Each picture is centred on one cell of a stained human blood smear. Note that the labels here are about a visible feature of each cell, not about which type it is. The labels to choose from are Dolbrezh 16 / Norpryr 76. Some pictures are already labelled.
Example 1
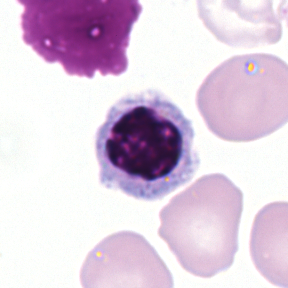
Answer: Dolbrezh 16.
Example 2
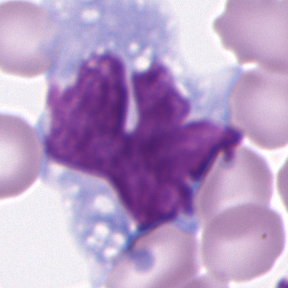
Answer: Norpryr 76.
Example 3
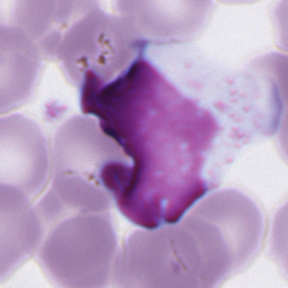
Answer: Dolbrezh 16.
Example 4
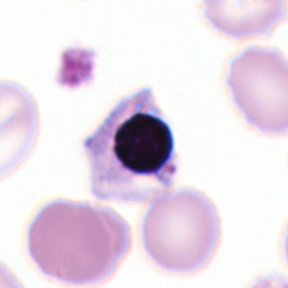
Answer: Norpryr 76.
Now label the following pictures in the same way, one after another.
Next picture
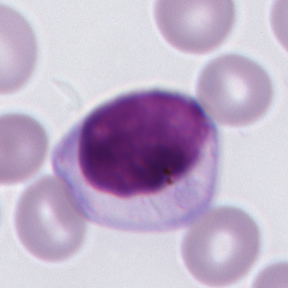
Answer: Norpryr 76.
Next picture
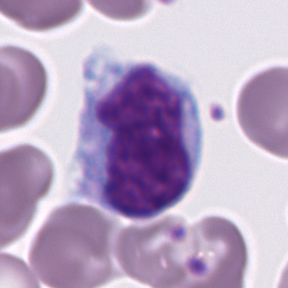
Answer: Dolbrezh 16.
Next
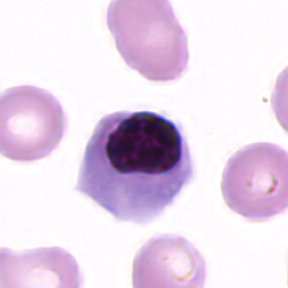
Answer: Norpryr 76.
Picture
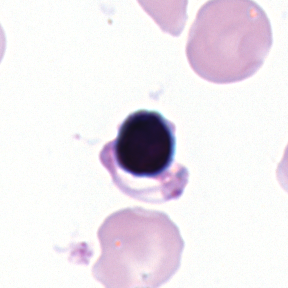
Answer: Dolbrezh 16.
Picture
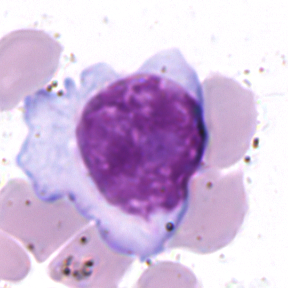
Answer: Norpryr 76.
